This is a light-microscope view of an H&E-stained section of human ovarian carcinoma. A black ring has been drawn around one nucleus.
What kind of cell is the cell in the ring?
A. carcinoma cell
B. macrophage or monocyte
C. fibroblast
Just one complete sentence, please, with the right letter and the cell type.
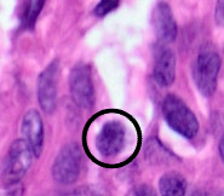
Right answer, option B: the cell in the ring is a macrophage or monocyte.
